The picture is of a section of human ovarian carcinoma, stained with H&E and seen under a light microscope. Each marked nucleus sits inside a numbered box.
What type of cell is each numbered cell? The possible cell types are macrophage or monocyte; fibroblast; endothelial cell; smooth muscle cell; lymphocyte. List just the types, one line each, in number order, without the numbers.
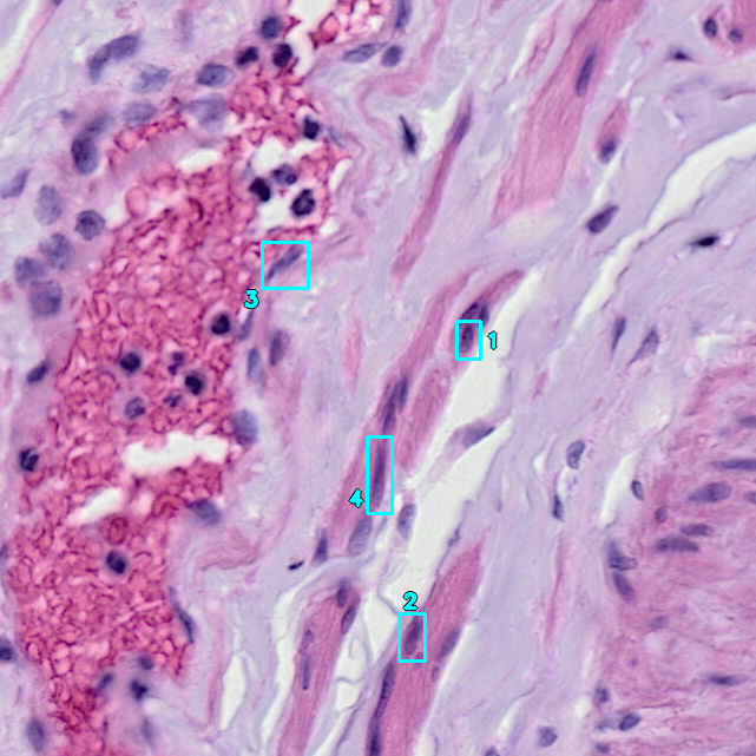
smooth muscle cell
smooth muscle cell
endothelial cell
smooth muscle cell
